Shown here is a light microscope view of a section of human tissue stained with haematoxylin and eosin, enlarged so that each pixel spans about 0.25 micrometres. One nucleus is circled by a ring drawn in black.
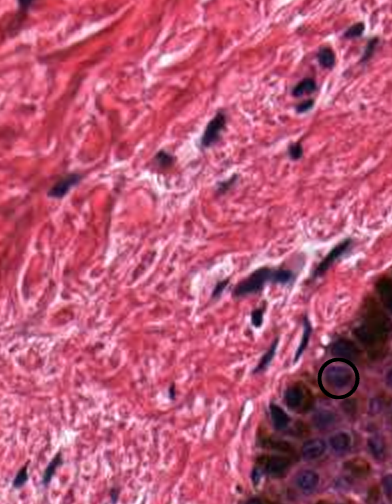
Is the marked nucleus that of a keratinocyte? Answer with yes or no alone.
yes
